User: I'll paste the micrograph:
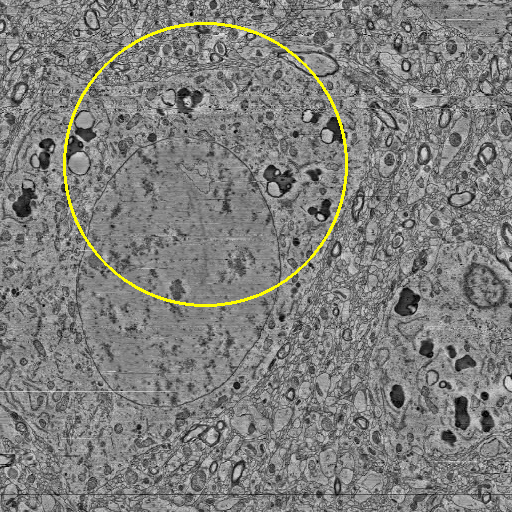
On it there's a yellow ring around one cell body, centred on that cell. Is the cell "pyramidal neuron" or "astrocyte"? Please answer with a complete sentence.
The cell ringed in yellow is a pyramidal neuron.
